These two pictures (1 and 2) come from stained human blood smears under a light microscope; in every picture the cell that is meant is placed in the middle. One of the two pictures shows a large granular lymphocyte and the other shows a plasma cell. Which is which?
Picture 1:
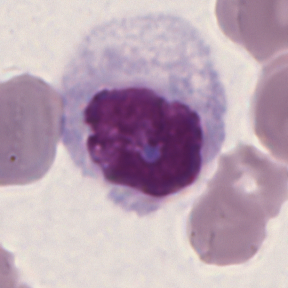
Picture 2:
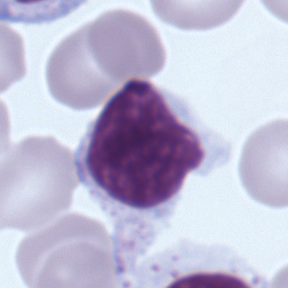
1: plasma cell
2: large granular lymphocyte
